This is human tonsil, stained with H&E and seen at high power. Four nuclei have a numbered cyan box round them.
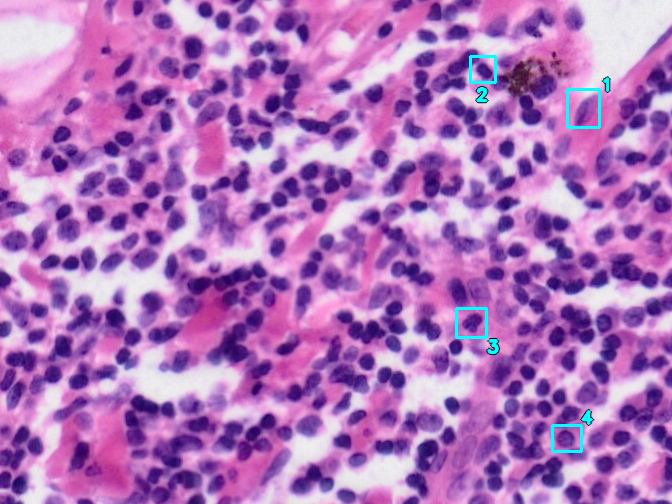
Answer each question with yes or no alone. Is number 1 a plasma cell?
no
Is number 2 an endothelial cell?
no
